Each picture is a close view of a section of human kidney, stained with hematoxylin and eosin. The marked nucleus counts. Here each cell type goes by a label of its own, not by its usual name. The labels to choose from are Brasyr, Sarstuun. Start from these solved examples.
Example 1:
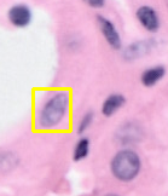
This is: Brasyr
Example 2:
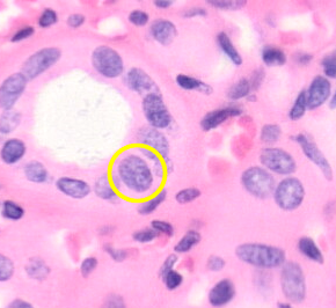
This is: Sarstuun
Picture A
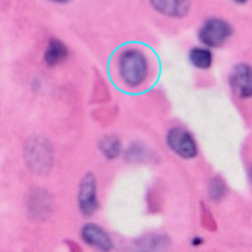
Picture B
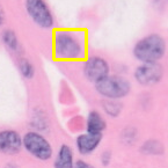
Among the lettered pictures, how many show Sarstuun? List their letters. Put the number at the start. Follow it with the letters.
Count: 1 (B)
